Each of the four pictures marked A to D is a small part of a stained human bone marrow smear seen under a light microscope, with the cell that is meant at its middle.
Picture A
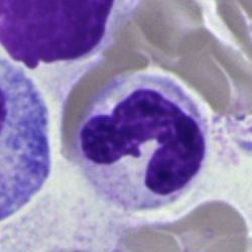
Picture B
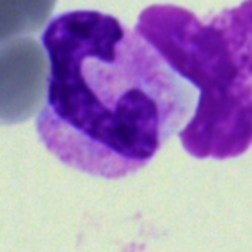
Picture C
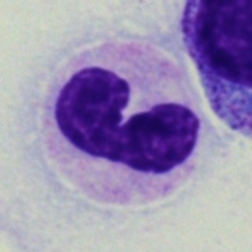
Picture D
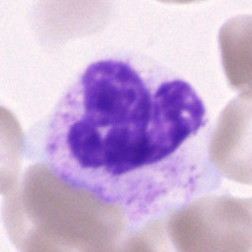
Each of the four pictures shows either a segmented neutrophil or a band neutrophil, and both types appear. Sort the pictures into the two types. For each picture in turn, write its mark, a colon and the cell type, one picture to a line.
A: band neutrophil
B: band neutrophil
C: band neutrophil
D: segmented neutrophil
